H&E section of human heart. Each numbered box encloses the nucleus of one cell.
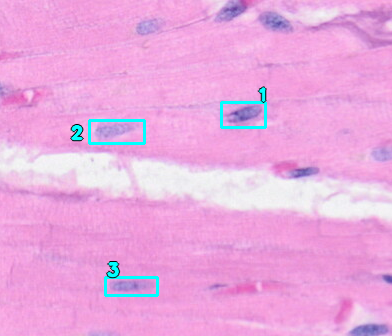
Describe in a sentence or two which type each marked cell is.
Cell 1 is an endothelial cell. Cells 2 and 3 are cardiomyocytes.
